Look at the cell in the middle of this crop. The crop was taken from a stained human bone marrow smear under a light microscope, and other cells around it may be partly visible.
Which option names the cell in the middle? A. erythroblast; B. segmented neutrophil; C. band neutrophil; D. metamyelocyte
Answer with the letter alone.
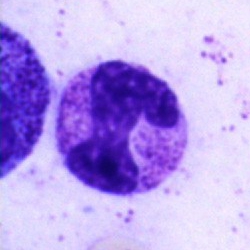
C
